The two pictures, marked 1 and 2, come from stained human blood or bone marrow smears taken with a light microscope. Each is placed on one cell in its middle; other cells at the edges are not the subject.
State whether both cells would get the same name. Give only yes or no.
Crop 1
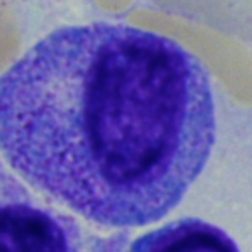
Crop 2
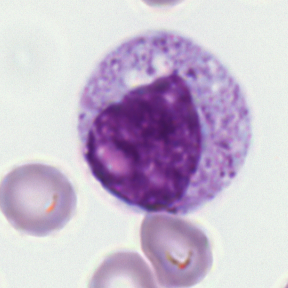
no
